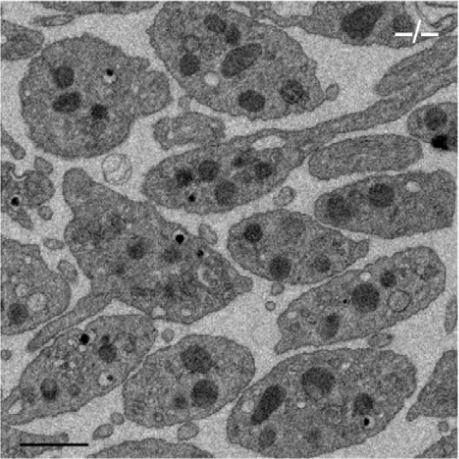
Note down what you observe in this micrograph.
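Here platelets are packed closely side by side, each an oval or disc-shaped fragment without a nucleus, cut in thin section. Within the finely grainy cytoplasm lie several round grey alpha granules, and small very dark dense granules appear as black dots, some with a pale rim around them. A few pale vacuoles are also visible inside the profiles.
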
